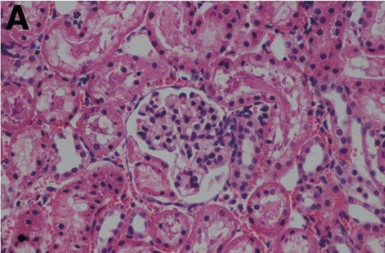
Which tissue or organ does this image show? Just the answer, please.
Renal cortex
